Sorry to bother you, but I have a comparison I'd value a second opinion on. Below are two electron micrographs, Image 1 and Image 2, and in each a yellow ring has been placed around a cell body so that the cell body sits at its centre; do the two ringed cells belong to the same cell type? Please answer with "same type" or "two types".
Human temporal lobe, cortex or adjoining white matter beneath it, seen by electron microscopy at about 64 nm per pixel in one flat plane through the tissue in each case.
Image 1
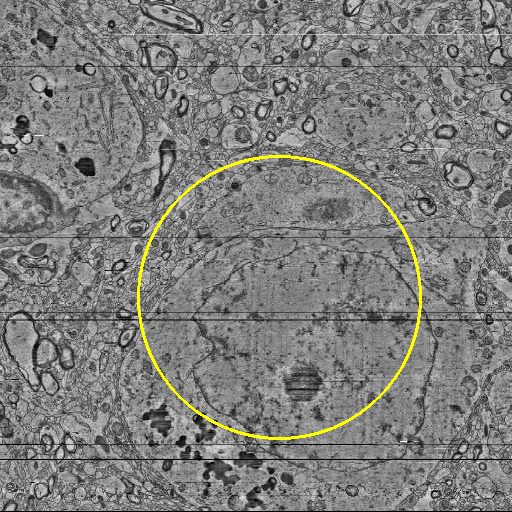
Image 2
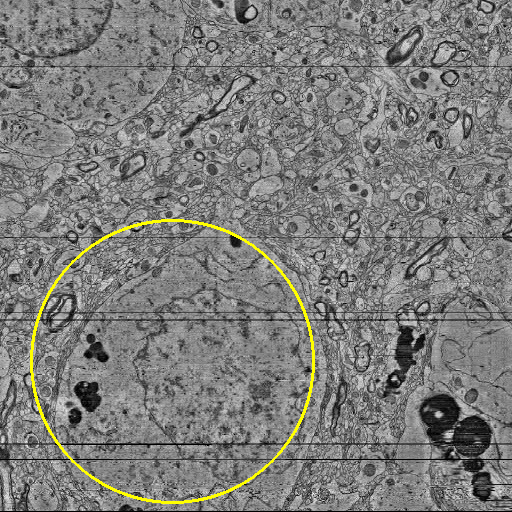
same type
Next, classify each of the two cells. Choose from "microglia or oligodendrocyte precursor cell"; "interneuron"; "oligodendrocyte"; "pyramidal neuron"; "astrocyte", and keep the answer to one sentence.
The cell in the first picture is a pyramidal neuron, and so is the one in the second.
